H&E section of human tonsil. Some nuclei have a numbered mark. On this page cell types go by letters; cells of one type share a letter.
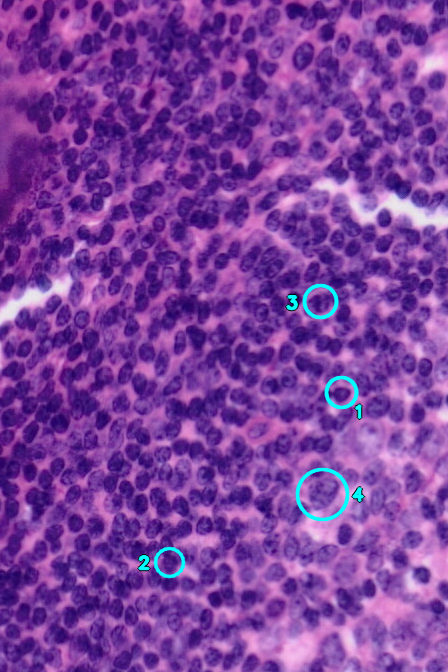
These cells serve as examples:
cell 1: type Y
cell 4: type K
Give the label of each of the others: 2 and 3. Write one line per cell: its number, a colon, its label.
2: type Y
3: type Y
